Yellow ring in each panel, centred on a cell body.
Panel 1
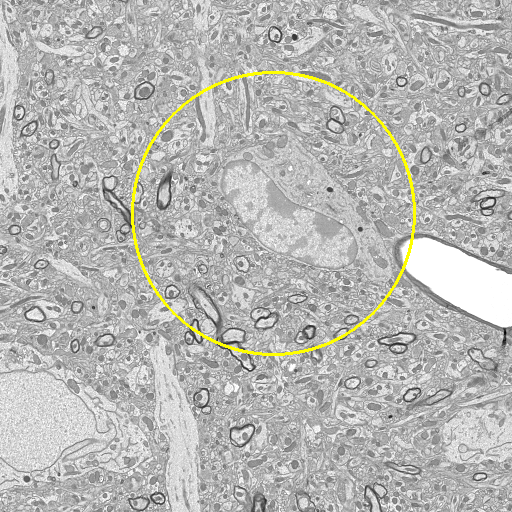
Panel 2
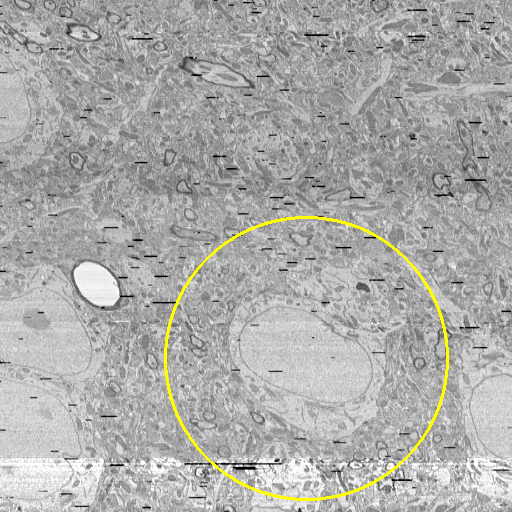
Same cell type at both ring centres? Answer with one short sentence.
No, the two cells are of two types.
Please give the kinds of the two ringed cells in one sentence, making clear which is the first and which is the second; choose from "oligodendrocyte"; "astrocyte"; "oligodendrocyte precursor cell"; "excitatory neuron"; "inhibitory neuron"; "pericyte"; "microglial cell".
In the second picture the ringed cell is an excitatory neuron; in the first it is an oligodendrocyte.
